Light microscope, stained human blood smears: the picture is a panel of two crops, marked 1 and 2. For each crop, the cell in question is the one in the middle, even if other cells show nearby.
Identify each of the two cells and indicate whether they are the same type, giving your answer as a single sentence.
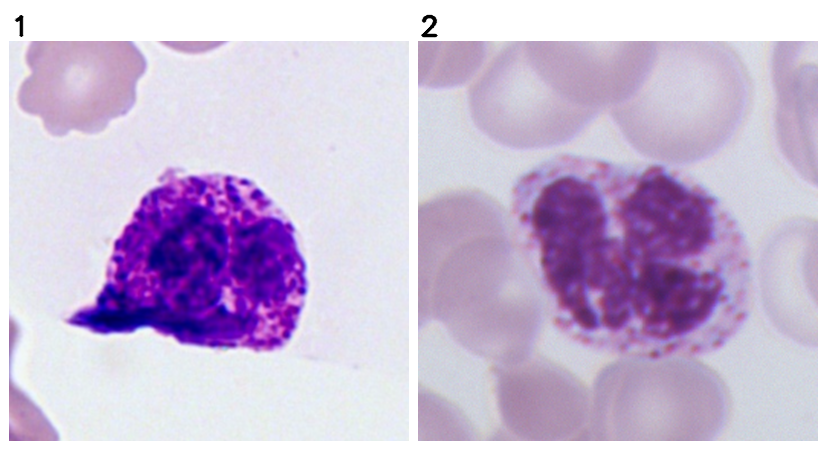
Yes, in both crops the centred cells are basophils.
